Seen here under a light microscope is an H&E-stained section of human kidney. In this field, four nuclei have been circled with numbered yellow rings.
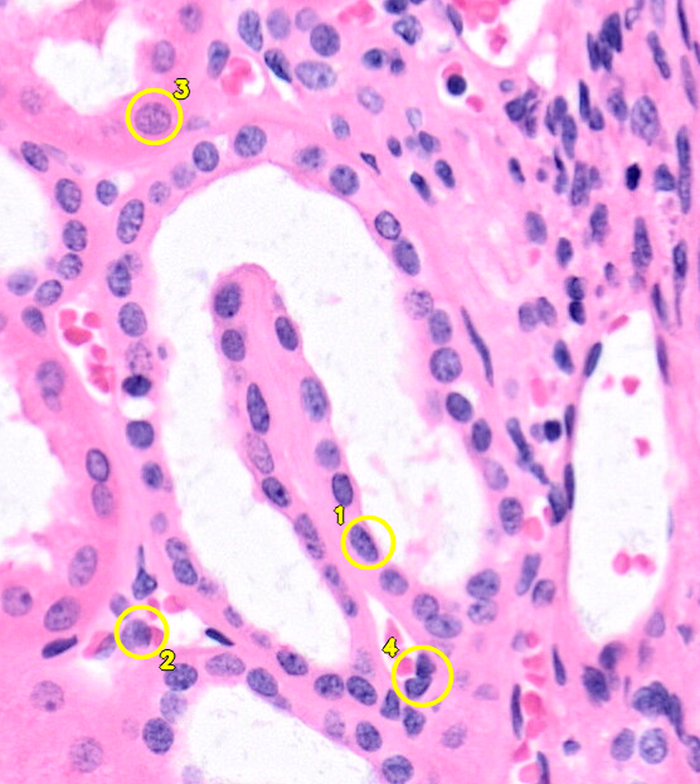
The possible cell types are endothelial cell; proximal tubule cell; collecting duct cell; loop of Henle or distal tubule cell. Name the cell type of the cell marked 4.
endothelial cell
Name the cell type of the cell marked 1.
collecting duct cell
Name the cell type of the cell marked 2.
endothelial cell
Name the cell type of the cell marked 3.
proximal tubule cell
